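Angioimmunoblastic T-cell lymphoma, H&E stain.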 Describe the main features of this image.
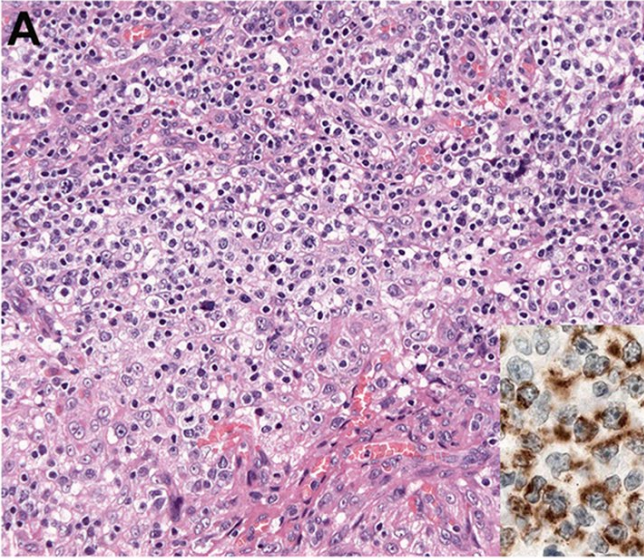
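This is a lymph node whose architecture is replaced by a proliferation of large cells with abundant clear cytoplasm, forming pale sheets. Between them lie many small dark lymphocytes and numerous small branching vessels containing red blood cells. In the inset, brown staining forms a dot or clump beside the nucleus of many cells, while the nuclei stay unstained.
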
